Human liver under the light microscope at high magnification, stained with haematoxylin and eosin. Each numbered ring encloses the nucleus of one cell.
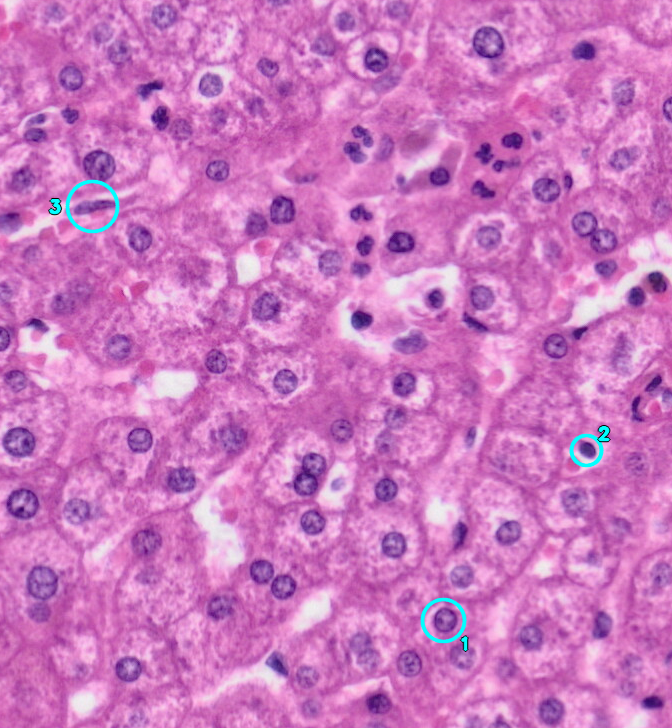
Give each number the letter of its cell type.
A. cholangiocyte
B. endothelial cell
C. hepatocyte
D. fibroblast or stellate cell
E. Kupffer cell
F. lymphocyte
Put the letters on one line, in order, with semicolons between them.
C; F; E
